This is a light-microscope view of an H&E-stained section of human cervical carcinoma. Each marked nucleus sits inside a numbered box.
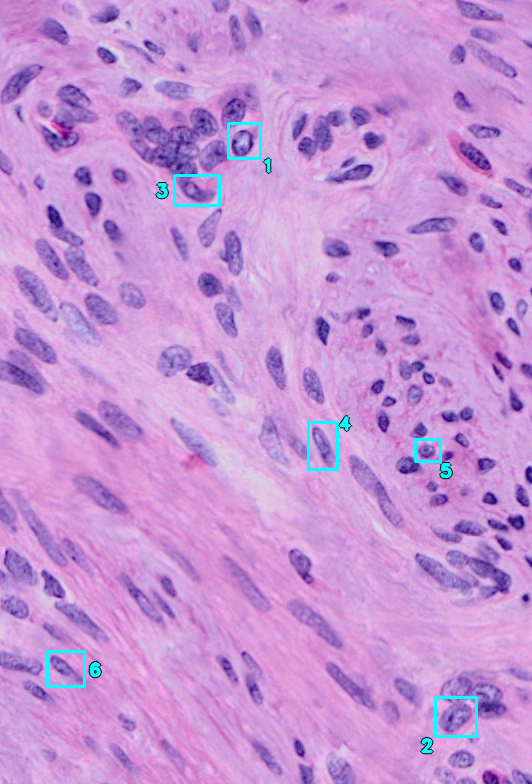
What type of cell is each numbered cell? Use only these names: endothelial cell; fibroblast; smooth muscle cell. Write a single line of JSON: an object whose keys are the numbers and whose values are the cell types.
{"1": "endothelial cell", "2": "endothelial cell", "3": "endothelial cell", "4": "fibroblast", "5": "smooth muscle cell", "6": "smooth muscle cell"}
